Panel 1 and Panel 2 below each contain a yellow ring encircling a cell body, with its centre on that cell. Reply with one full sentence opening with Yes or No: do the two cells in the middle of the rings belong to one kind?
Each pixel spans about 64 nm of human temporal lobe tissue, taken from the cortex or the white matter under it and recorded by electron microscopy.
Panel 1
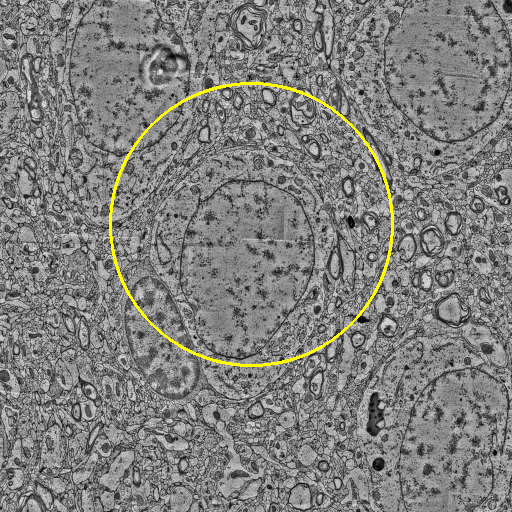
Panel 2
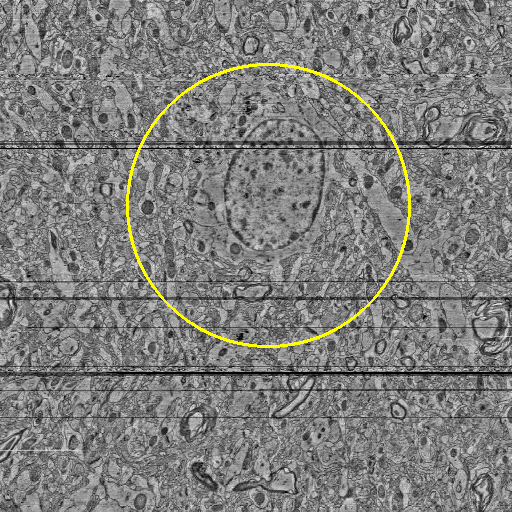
No, the cells at the middle of the Panel 1 ring and the Panel 2 ring are of two kinds.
